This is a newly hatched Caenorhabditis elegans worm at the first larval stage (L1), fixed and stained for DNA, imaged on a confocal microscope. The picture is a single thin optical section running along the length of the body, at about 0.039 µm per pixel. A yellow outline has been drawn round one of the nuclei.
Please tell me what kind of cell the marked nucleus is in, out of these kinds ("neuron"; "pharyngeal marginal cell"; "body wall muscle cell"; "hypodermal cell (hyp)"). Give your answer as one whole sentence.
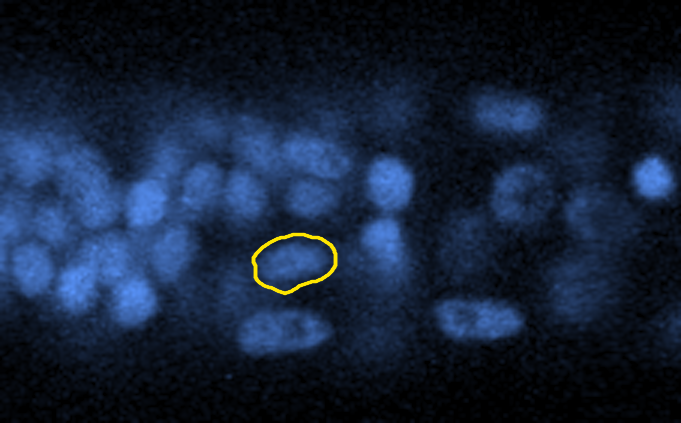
The cell with the marked nucleus is a pharyngeal marginal cell.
